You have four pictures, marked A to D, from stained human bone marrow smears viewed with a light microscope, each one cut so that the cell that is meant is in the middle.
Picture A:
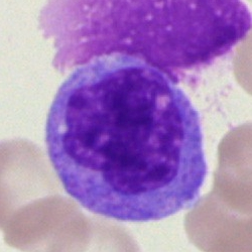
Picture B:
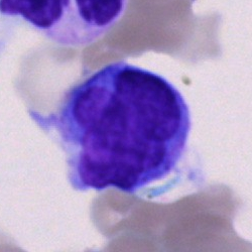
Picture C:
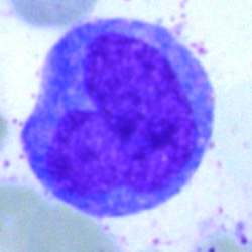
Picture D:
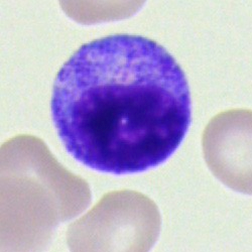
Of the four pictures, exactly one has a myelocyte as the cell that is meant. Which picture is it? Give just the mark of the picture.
D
